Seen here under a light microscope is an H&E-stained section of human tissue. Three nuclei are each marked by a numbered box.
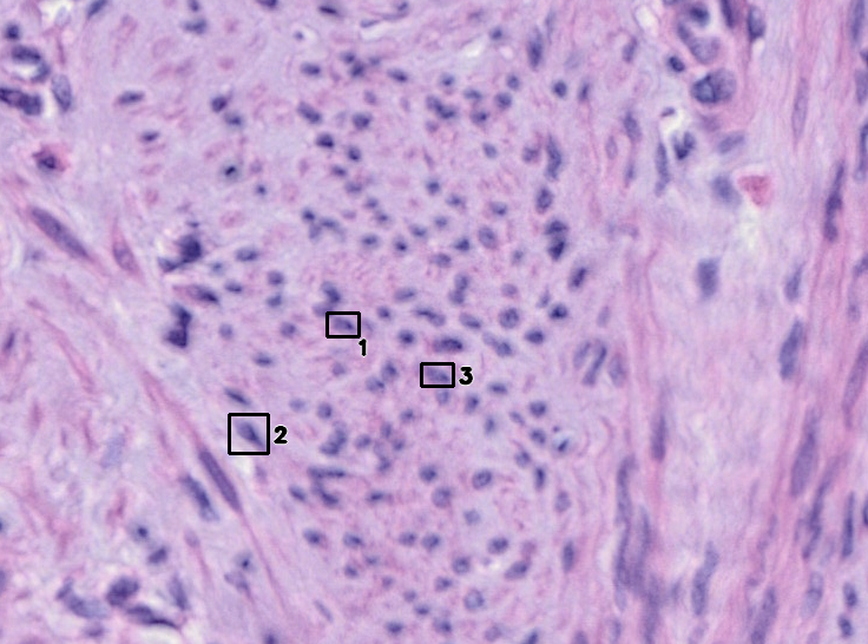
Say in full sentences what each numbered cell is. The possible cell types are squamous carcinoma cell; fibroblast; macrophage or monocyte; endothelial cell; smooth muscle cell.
Cells 1 and 3 are smooth muscle cells. Cell 2 is a fibroblast.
